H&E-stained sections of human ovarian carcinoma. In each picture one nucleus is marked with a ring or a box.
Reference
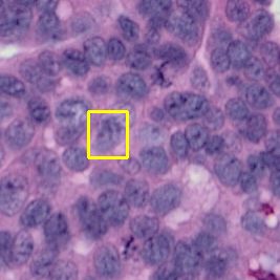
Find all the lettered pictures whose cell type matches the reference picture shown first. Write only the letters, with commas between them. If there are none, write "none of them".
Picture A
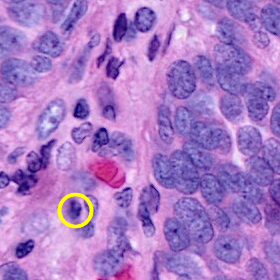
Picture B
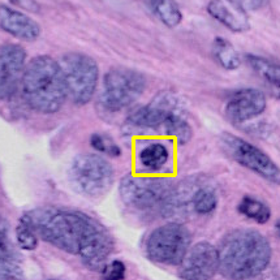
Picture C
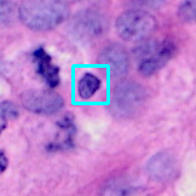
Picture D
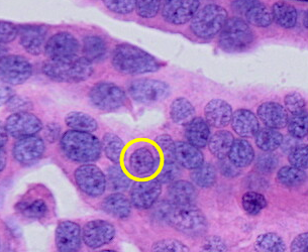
D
